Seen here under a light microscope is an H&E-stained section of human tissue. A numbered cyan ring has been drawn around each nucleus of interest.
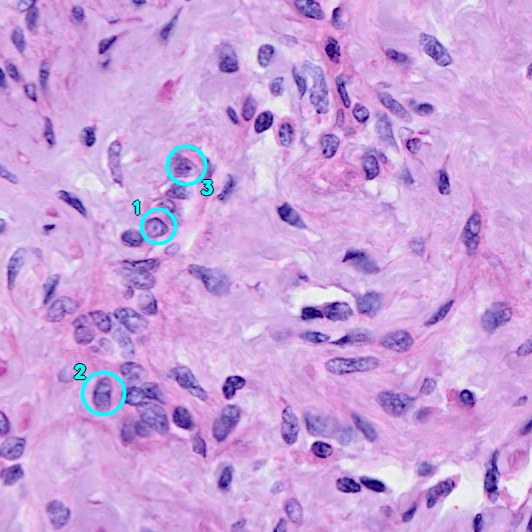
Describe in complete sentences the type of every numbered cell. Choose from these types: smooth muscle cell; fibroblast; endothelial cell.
Cells 1 and 3 are endothelial cells. Cell 2 is a smooth muscle cell.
